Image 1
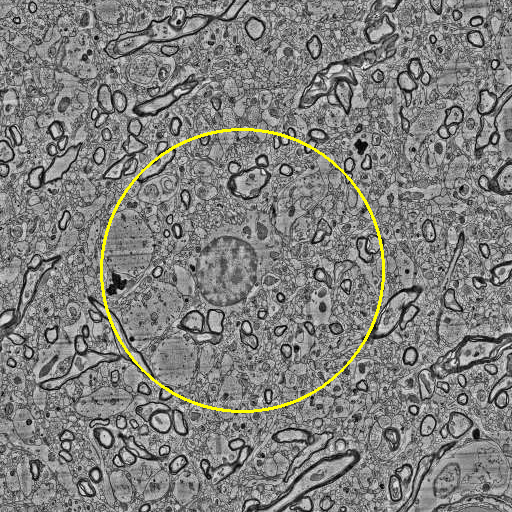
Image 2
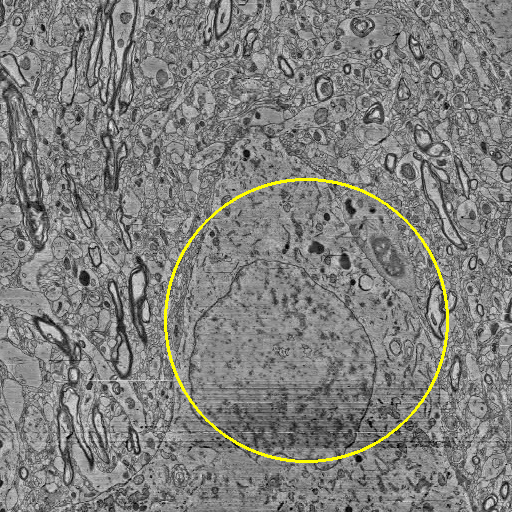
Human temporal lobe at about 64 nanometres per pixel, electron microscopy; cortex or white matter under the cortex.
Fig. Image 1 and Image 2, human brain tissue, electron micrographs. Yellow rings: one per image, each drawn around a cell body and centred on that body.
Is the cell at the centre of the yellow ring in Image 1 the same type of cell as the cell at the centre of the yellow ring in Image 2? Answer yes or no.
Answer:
no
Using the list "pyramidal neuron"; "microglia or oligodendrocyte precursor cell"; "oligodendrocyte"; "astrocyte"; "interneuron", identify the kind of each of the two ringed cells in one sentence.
The first is an oligodendrocyte and the second is a pyramidal neuron.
